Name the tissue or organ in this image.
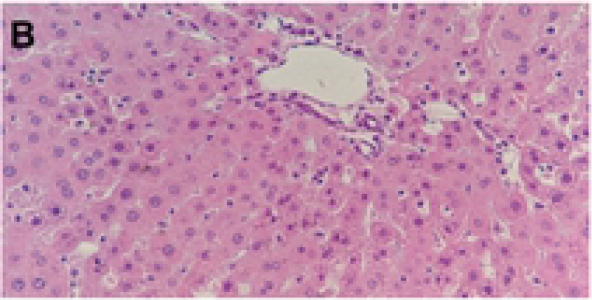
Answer: liver parenchyma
